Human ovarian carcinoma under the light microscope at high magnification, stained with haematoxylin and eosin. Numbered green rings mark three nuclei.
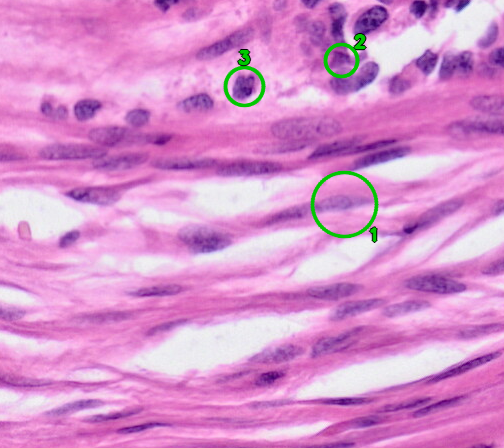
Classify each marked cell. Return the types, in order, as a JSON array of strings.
["fibroblast", "carcinoma cell", "macrophage or monocyte"]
